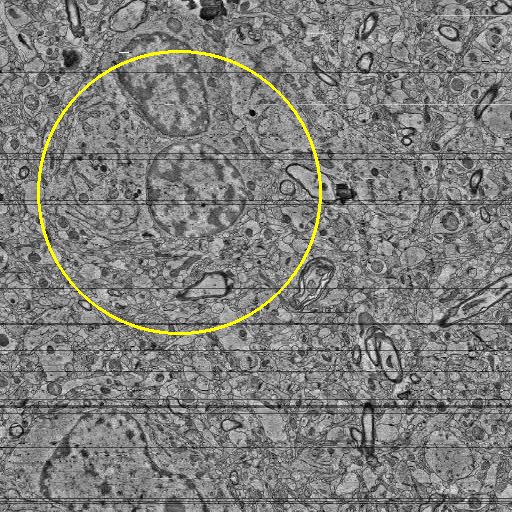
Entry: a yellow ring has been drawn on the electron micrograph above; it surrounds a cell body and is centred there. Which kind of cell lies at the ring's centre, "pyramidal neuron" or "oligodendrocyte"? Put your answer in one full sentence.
The cell sitting at the ring's centre is an oligodendrocyte in the micrograph above.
